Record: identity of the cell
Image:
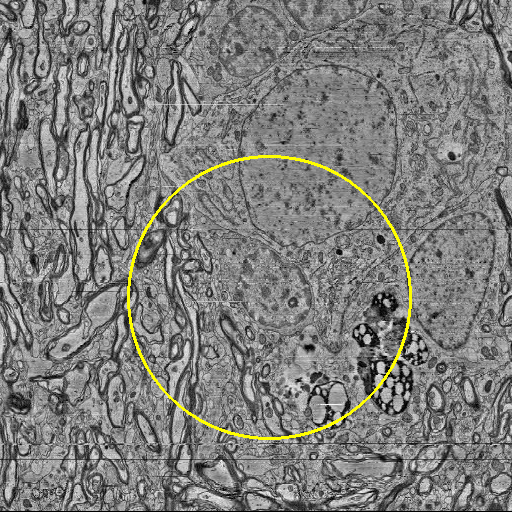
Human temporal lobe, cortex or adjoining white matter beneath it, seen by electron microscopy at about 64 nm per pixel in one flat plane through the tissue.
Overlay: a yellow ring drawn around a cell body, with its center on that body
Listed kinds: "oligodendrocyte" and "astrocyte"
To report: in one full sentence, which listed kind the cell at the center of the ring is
In the image, the cell body at the ring's center belongs to an oligodendrocyte.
